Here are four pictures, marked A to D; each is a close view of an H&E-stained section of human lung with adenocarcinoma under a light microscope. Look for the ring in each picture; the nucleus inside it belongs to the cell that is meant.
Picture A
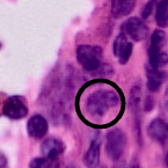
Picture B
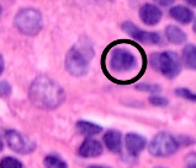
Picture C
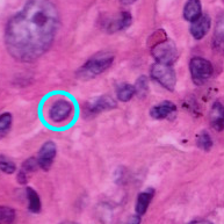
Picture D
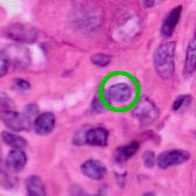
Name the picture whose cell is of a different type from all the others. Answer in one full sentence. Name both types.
Picture C is the odd one out: it shows a mast cell, while the others show lymphocytes.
